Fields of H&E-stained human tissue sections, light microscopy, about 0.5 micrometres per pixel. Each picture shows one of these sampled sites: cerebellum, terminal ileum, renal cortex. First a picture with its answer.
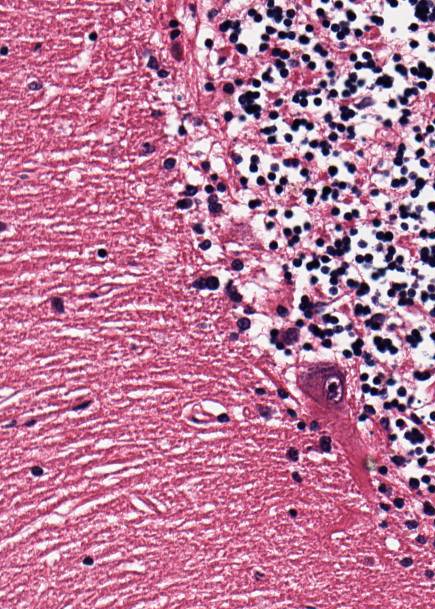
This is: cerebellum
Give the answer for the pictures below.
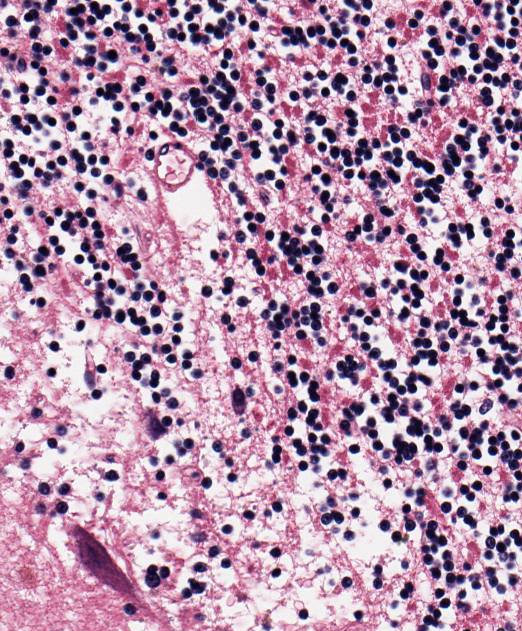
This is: cerebellum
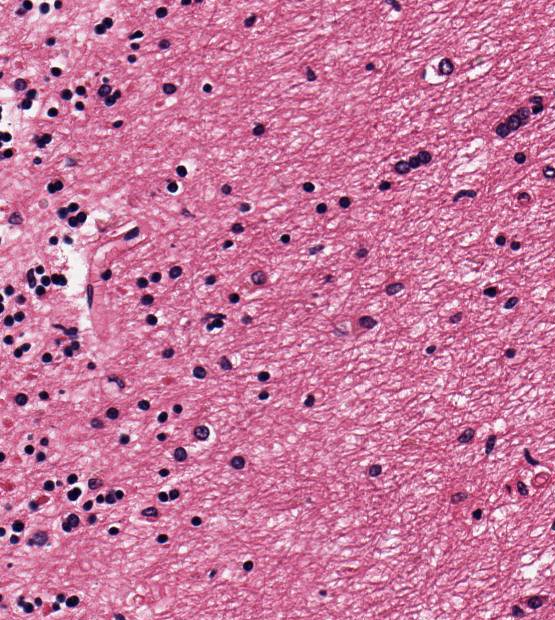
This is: cerebellum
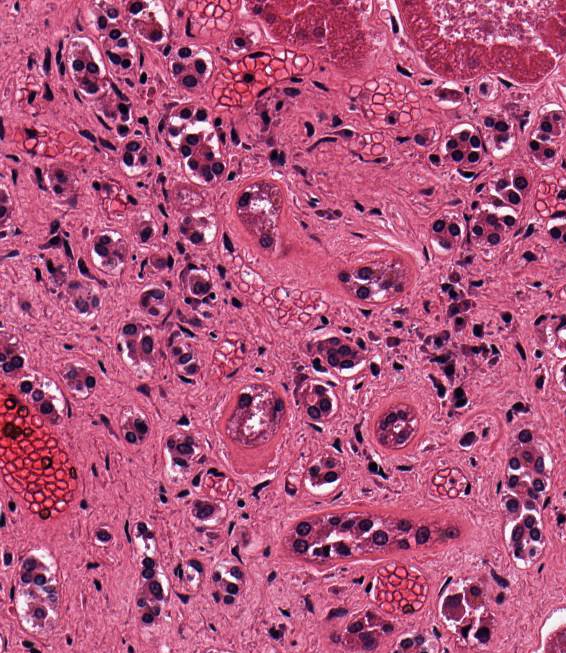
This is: renal cortex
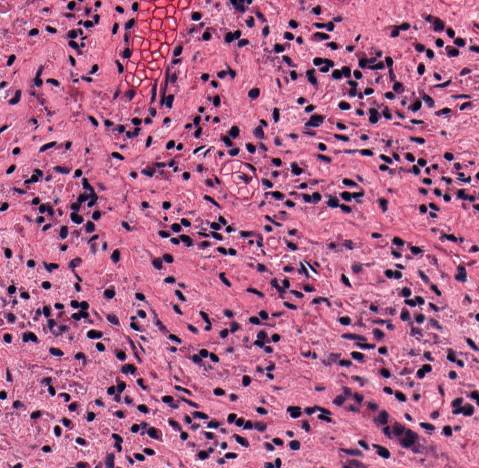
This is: terminal ileum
